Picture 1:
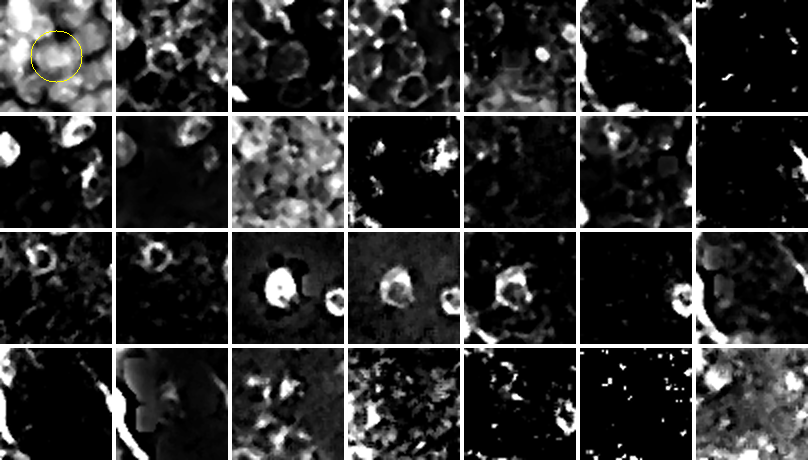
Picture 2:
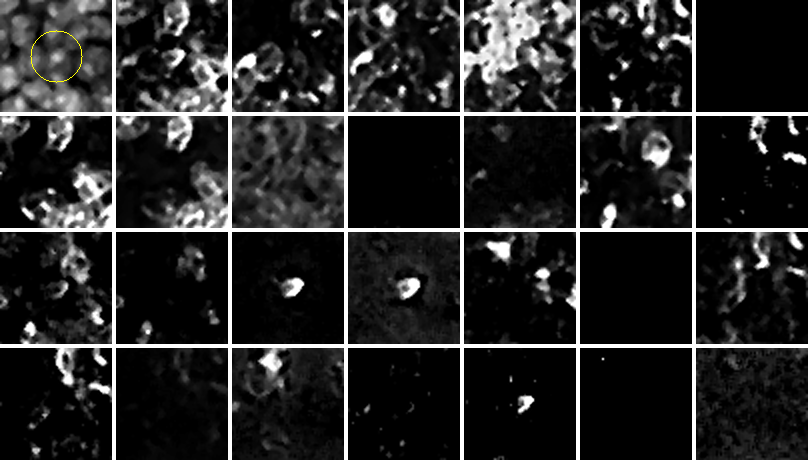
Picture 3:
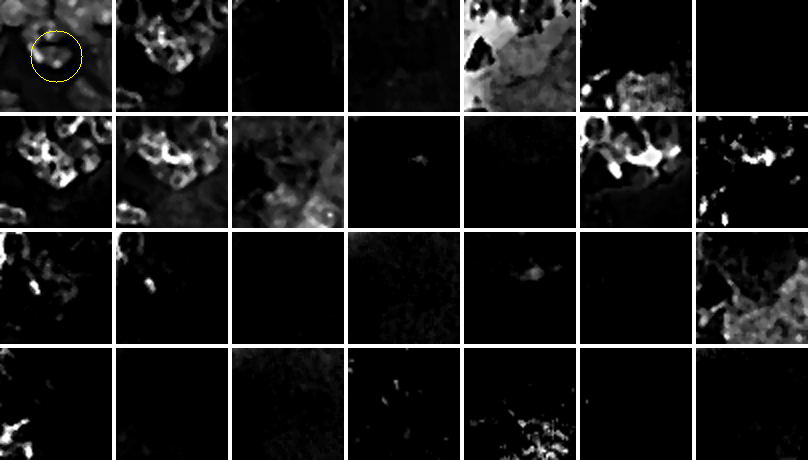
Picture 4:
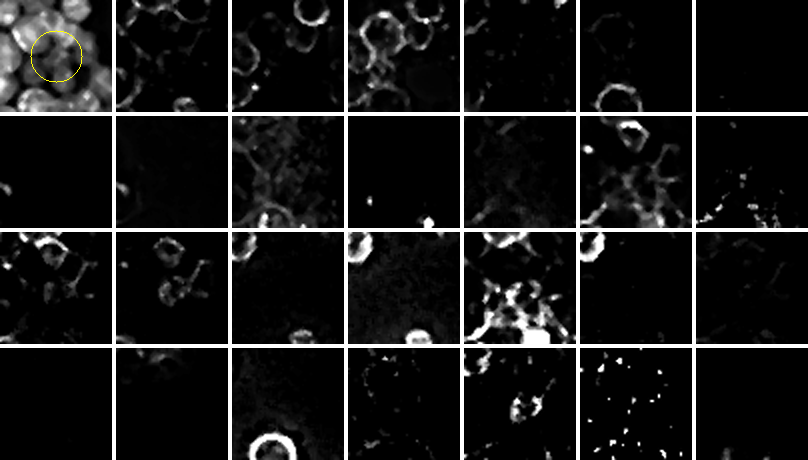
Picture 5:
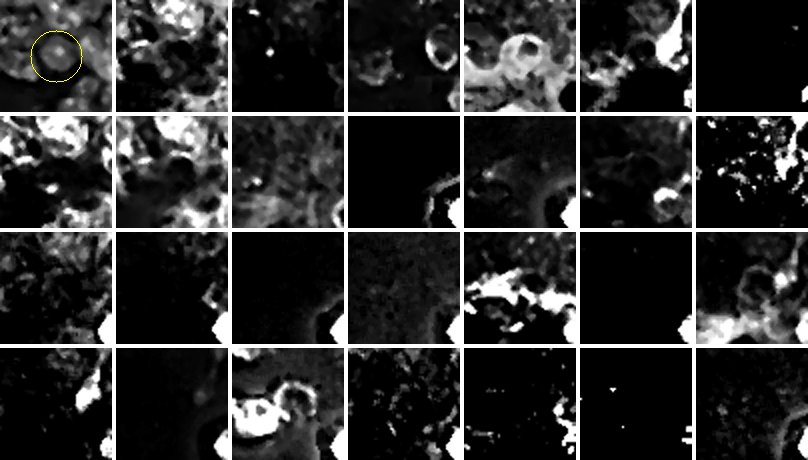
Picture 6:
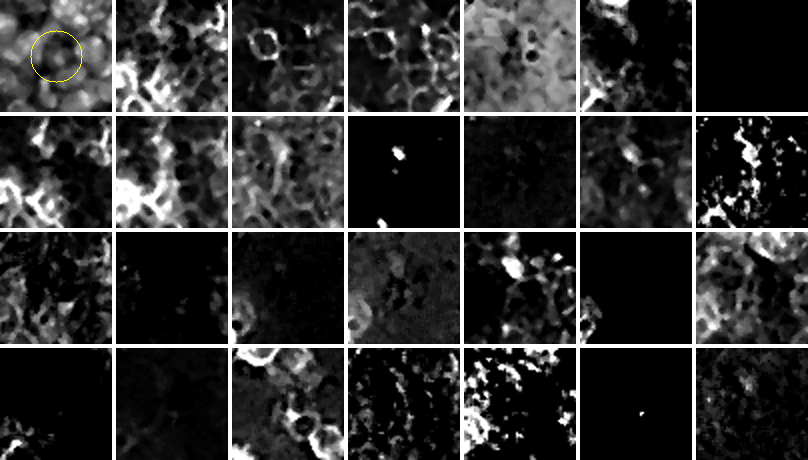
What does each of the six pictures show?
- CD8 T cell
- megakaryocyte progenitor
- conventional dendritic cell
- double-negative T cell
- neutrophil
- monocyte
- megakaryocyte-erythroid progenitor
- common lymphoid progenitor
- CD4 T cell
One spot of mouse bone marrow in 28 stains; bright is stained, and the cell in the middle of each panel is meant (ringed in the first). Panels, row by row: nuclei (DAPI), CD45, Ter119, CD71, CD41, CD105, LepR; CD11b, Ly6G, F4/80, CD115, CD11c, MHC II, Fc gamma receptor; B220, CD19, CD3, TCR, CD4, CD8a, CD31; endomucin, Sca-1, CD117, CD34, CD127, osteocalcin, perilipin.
Picture 1: CD4 T cell
Picture 2: double-negative T cell
Picture 3: neutrophil
Picture 4: common lymphoid progenitor
Picture 5: megakaryocyte progenitor
Picture 6: megakaryocyte progenitor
